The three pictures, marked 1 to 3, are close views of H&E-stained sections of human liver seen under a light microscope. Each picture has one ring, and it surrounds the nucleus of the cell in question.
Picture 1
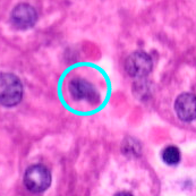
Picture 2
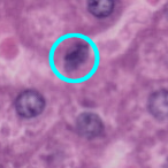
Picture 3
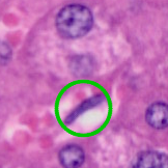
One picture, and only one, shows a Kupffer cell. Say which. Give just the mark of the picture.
3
